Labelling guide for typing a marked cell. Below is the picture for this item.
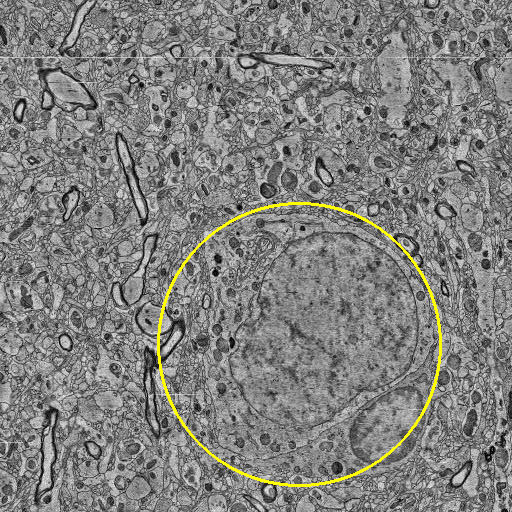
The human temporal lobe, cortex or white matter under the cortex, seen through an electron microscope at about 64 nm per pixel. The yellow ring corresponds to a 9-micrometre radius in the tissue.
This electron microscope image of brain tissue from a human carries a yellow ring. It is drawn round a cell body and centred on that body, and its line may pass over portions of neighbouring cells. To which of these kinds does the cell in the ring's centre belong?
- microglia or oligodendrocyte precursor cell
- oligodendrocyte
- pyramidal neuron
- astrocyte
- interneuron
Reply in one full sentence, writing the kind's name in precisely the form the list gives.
Here we have an interneuron at the centre of the yellow ring in the picture.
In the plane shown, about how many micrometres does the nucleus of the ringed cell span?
In this plane, approximately 13 by 11 micrometers.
